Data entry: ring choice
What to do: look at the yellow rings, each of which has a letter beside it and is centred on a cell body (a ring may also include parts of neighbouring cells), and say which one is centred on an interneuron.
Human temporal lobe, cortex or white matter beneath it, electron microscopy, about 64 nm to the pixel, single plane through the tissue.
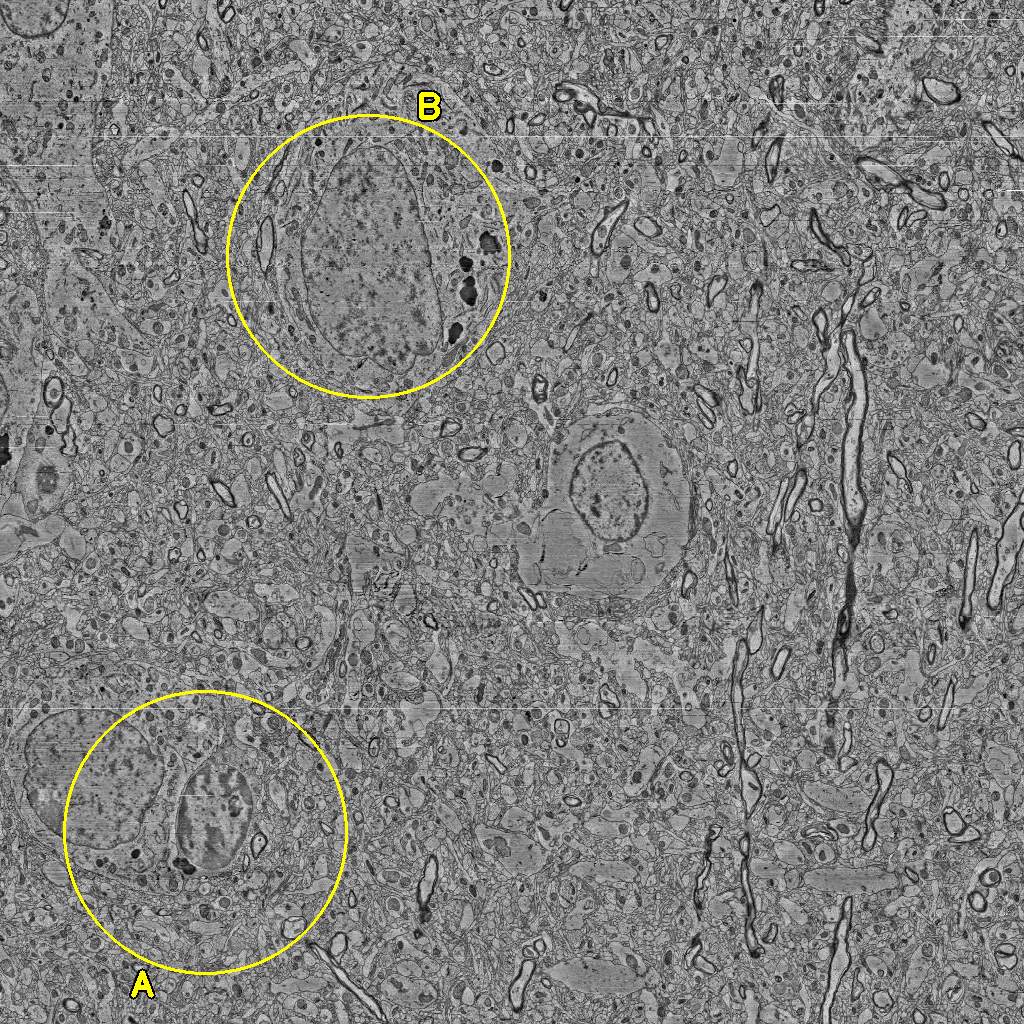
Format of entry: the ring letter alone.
B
